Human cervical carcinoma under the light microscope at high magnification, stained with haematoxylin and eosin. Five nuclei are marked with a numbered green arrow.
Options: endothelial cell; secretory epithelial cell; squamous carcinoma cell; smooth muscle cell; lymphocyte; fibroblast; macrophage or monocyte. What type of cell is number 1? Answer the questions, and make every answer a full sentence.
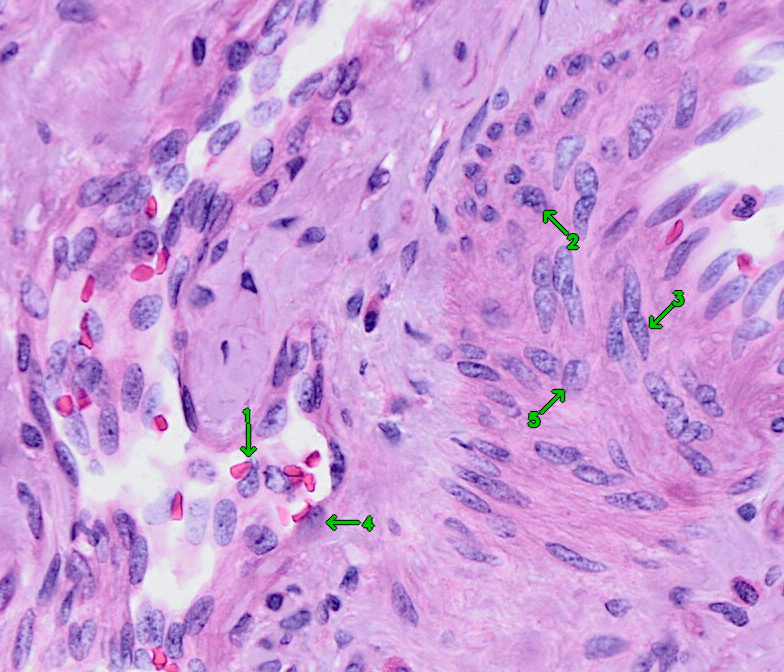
Regarding cell 1, this one is an endothelial cell.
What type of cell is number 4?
The cell numbered 4 has been identified as an endothelial cell.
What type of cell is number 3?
The numbered cell 3 in this field is a smooth muscle cell.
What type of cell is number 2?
In this section, number 2 marks a smooth muscle cell.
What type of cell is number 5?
Here, the cell given the number 5 is a smooth muscle cell.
